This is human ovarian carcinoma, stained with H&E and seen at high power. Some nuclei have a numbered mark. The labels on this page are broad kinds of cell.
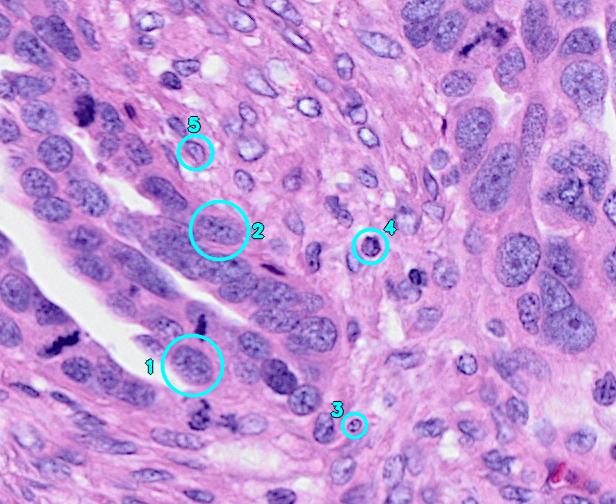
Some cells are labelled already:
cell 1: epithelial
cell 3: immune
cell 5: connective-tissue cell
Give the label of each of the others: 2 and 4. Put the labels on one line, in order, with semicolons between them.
epithelial; immune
